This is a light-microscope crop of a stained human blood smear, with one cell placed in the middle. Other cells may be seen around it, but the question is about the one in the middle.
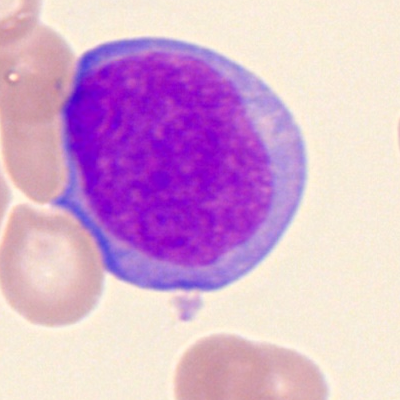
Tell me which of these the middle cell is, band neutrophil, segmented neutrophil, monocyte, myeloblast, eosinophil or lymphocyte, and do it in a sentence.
The cell occupying the middle of the crop is a myeloblast.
